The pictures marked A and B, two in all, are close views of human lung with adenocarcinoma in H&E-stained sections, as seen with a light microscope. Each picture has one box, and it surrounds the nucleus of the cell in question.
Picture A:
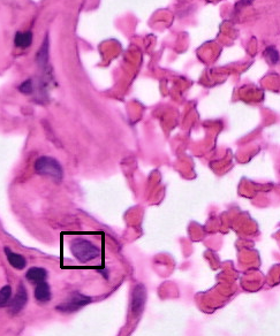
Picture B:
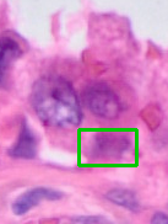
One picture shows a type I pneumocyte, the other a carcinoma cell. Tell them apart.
A: type I pneumocyte
B: carcinoma cell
